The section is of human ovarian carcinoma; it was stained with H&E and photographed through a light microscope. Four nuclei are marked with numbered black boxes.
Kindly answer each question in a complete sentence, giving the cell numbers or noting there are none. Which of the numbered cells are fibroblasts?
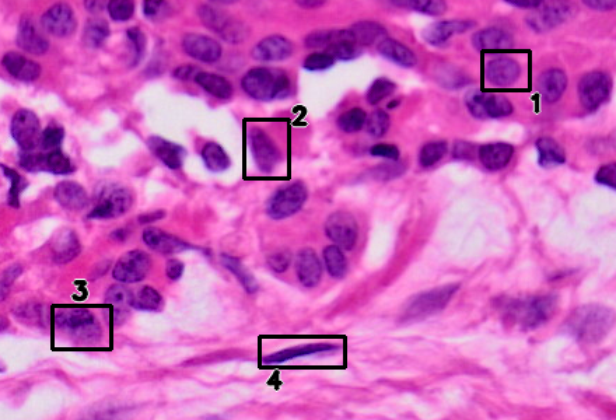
Only the cell numbered 4 is a fibroblast, and the others are something else.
